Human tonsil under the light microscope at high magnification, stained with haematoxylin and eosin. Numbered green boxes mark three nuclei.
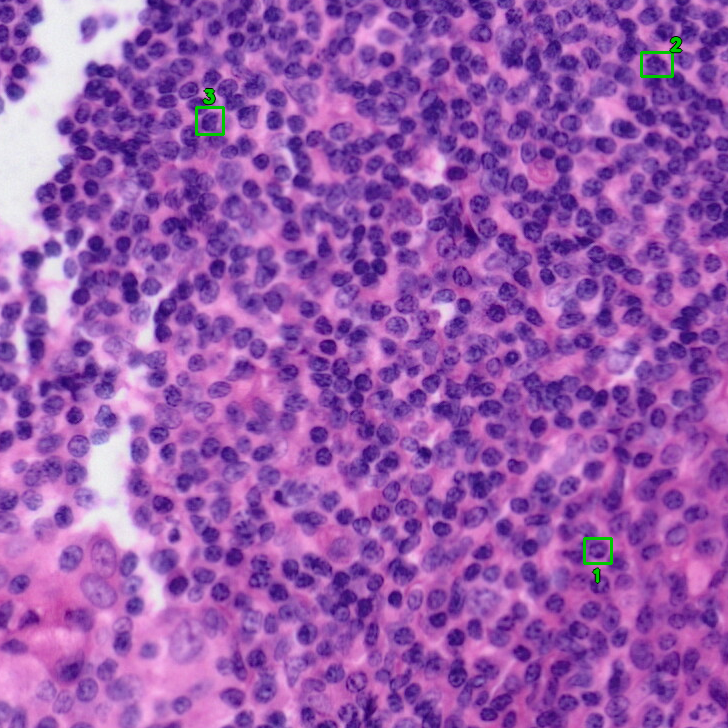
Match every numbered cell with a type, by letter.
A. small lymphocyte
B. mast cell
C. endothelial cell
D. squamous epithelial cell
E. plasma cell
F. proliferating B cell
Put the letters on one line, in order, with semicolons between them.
E; A; A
